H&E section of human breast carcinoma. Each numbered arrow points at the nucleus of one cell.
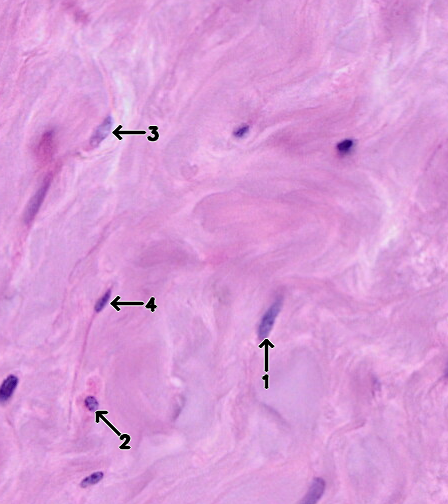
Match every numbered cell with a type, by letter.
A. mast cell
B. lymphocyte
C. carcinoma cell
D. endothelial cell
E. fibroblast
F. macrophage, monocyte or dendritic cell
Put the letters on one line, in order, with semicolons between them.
E; A; E; E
